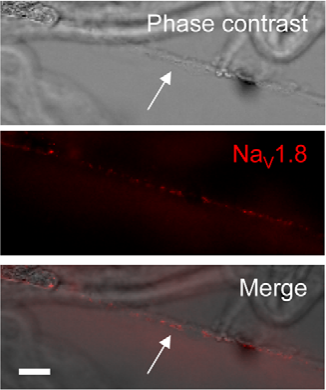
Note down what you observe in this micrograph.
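The fibre is slender and slightly beaded, with no thick sheath around it, unlike the broad, curving structures with bright edges at the top of the field. In the red fluorescence view the same thin fibre is lined by small red dots spaced along its length rather than by an even stain. In the overlay the red dots sit right on the thin fibre that the arrow points to.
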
